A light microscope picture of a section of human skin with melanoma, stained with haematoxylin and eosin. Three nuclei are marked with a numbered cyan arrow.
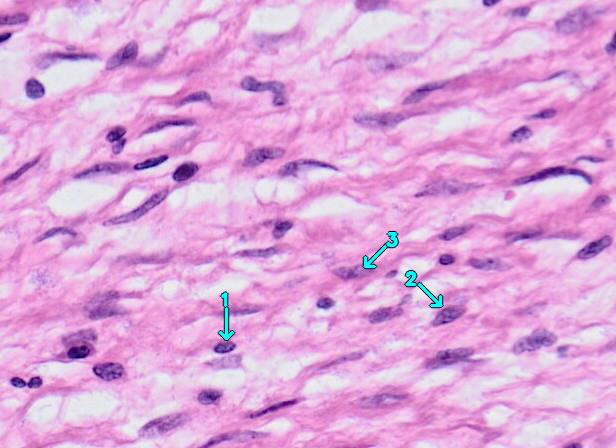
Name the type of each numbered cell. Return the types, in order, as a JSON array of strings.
["lymphocyte", "macrophage or monocyte", "fibroblast or myofibroblast"]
